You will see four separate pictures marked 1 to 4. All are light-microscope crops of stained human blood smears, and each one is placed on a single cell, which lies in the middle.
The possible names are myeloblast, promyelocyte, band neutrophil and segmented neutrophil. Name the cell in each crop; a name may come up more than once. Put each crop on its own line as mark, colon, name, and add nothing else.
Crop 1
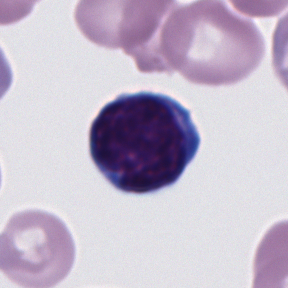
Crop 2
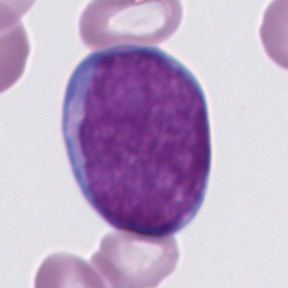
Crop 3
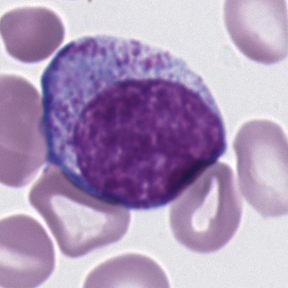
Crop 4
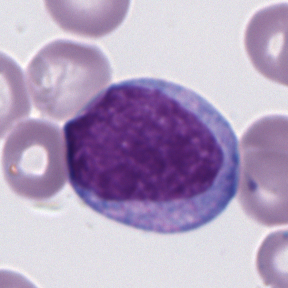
1: myeloblast
2: myeloblast
3: promyelocyte
4: promyelocyte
